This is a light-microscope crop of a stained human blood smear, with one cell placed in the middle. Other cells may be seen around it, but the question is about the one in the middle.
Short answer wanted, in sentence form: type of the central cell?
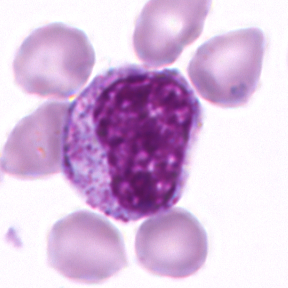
Here the cell in the middle is a metamyelocyte.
